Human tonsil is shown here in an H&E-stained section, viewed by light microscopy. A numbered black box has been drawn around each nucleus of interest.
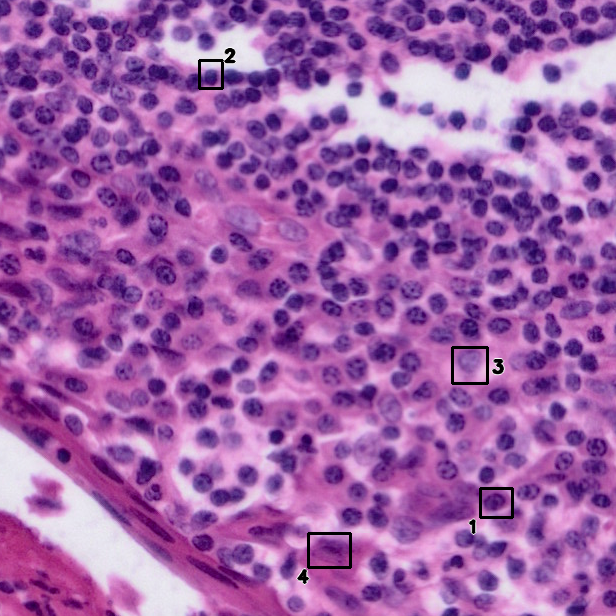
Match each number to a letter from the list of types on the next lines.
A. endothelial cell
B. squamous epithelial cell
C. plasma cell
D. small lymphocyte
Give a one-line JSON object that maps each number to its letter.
{"1": "C", "2": "D", "3": "A", "4": "B"}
